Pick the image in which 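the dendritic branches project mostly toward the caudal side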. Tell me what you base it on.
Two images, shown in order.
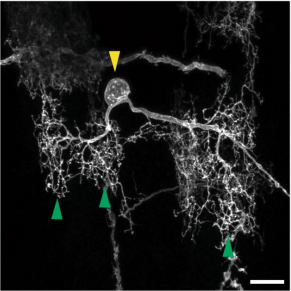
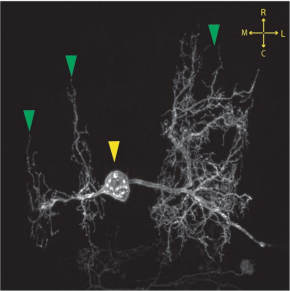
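First image: dense branch clusters lie mainly below the cell body. Second image: long branches extend upward, above the cell body. The answer: the first image.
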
